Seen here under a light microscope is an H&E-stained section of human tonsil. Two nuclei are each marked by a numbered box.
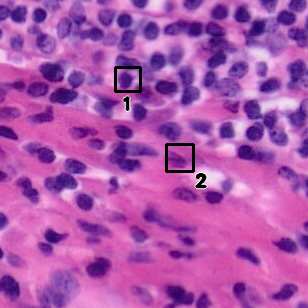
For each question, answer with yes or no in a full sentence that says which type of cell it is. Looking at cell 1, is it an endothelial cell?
No, the cell under number 1 is a small lymphocyte, not an endothelial cell.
